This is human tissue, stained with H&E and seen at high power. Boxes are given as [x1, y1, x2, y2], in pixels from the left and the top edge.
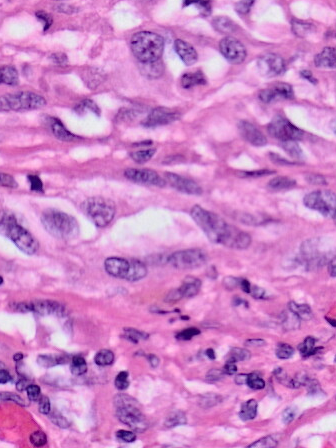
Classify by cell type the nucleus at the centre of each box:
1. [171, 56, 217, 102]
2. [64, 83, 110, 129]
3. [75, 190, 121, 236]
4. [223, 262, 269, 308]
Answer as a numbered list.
1. melanoma cell
2. melanoma cell
3. melanoma cell
4. lymphocyte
